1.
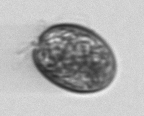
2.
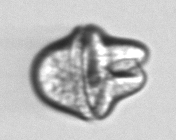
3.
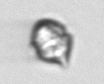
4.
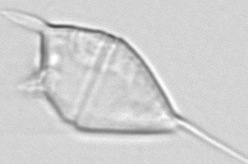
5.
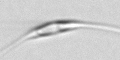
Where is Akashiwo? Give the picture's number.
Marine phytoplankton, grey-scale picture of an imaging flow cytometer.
2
